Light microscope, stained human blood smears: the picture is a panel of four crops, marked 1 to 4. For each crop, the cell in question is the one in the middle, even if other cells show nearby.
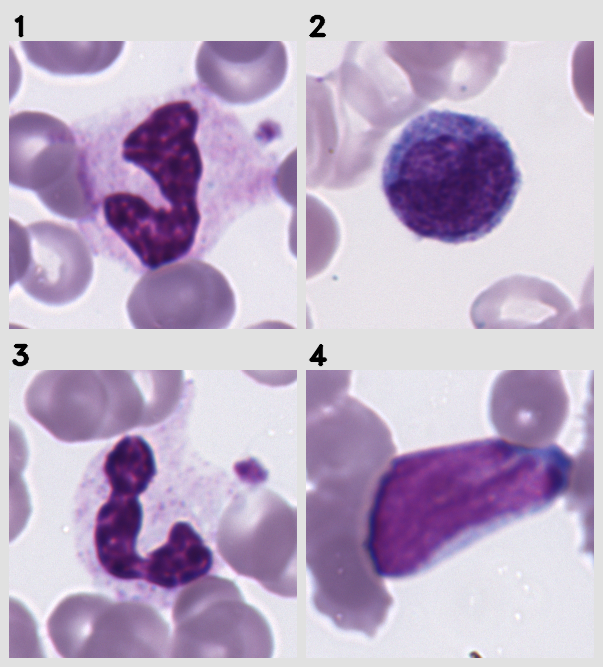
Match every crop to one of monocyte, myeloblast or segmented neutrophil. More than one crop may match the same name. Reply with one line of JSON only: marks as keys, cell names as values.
{"1": "segmented neutrophil", "2": "monocyte", "3": "segmented neutrophil", "4": "myeloblast"}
